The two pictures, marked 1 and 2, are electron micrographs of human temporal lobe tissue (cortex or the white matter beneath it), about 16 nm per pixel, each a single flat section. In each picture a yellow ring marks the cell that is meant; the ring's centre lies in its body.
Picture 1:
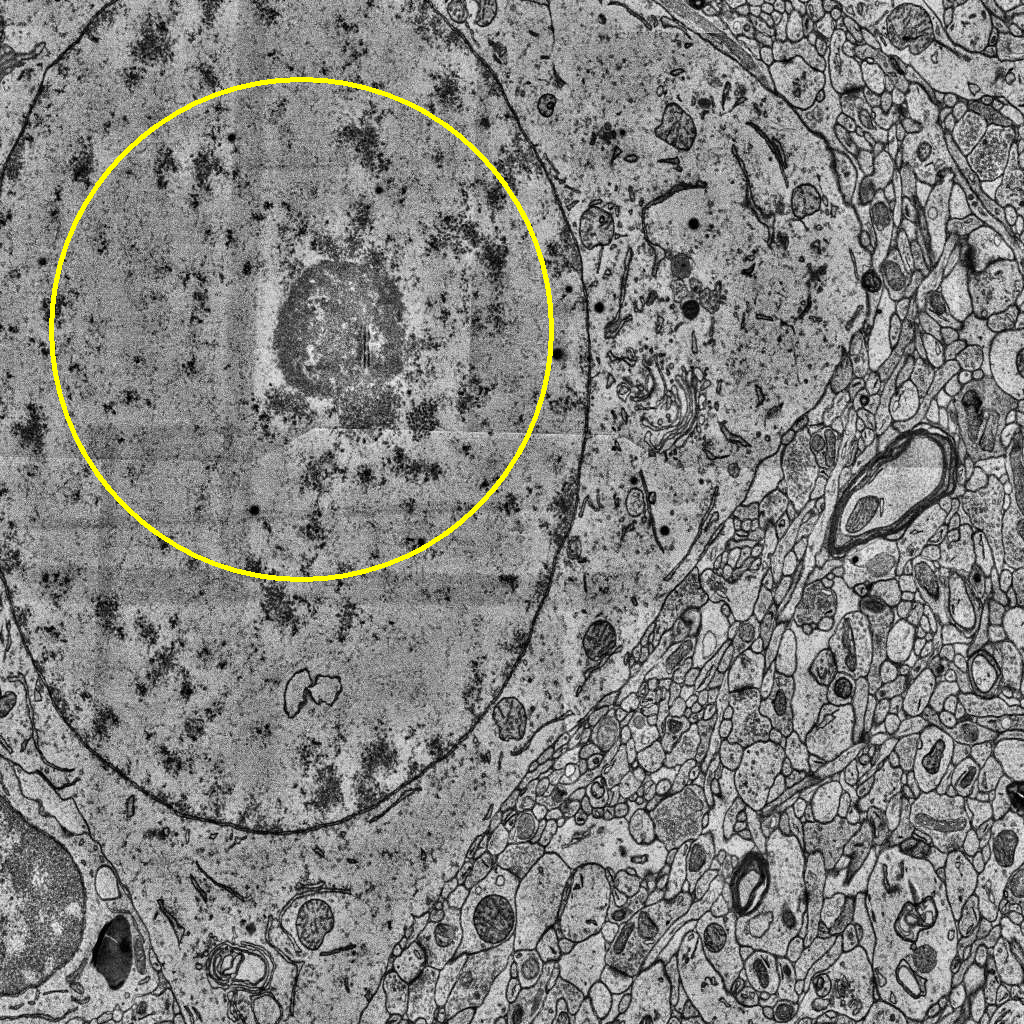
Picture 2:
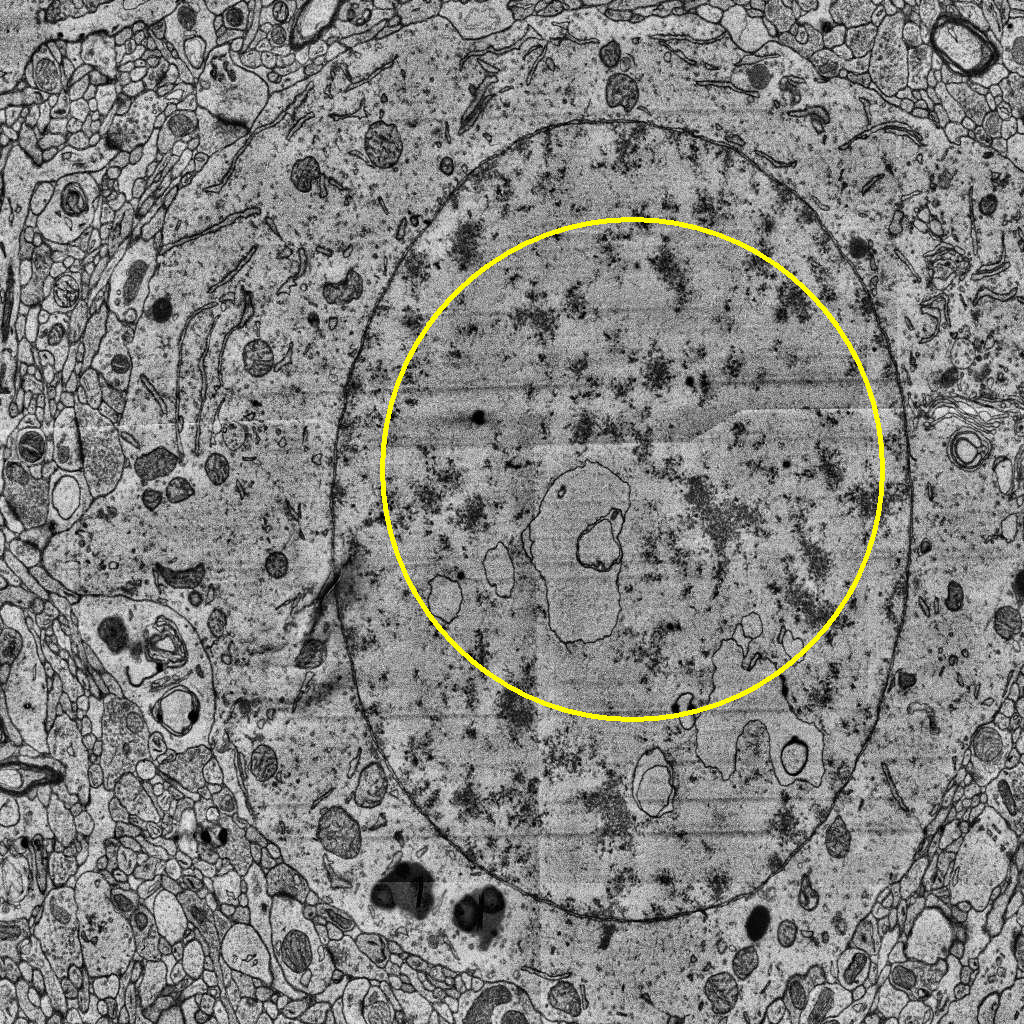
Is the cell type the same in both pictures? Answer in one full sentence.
Yes, both are pyramidal neurons.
